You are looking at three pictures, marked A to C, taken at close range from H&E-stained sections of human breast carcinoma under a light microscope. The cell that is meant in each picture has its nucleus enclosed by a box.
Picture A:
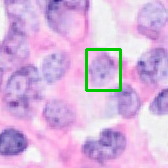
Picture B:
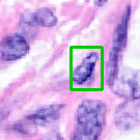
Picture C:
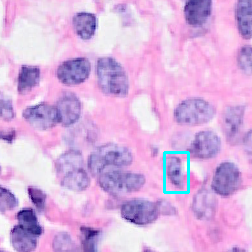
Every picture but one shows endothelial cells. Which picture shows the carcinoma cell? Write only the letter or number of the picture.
A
